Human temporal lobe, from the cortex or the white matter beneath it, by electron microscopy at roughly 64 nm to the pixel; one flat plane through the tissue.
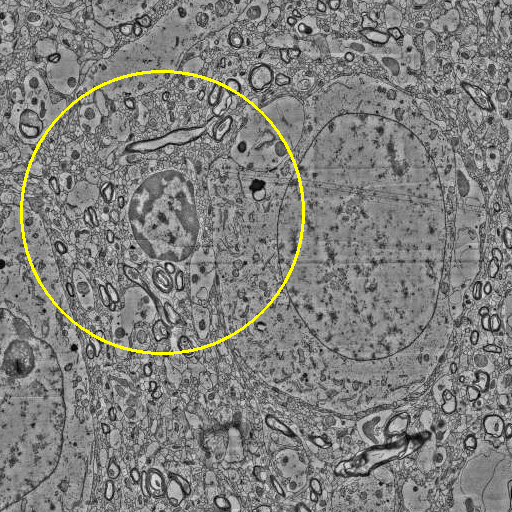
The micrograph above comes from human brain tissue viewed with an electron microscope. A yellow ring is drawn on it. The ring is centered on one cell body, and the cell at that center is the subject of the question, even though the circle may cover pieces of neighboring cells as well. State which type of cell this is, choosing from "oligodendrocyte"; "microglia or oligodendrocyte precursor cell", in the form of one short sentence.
The cell the ring is centered on is a microglial cell or oligodendrocyte precursor cell.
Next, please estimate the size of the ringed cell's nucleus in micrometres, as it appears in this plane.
Roughly 6 micrometres by 4 micrometres, in this plane.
